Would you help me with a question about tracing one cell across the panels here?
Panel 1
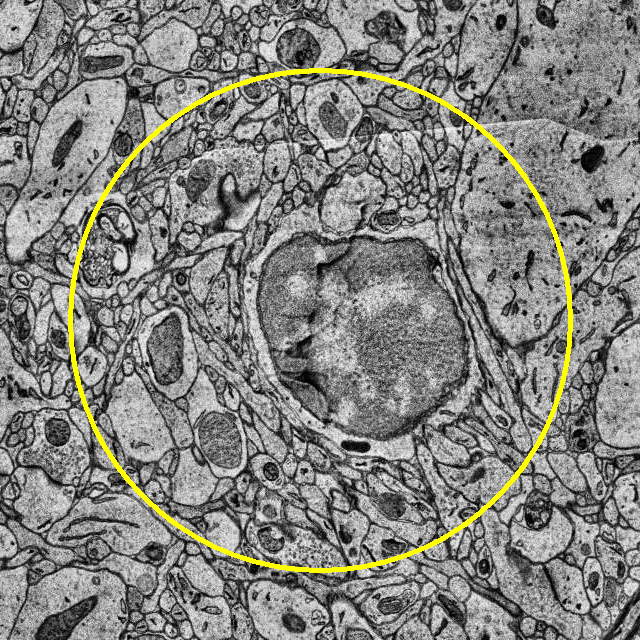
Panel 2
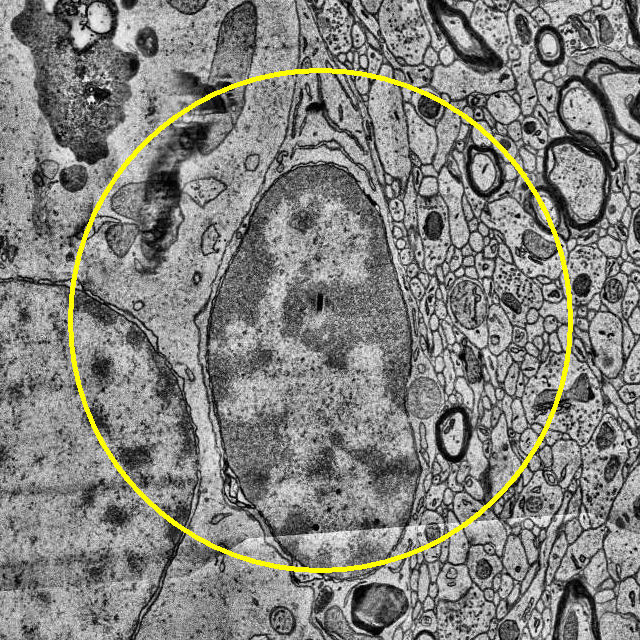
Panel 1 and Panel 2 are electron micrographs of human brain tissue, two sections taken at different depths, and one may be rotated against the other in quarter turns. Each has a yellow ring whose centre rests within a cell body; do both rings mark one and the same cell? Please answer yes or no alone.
no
